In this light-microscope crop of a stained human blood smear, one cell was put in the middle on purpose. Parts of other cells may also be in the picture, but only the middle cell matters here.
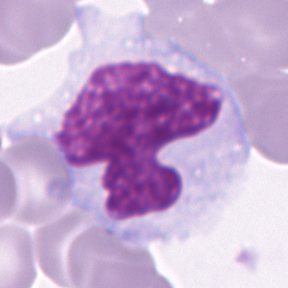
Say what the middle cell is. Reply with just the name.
monocyte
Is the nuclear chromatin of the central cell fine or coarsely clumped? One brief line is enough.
Answer: the chromatin is fine and has no coarse clumps.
